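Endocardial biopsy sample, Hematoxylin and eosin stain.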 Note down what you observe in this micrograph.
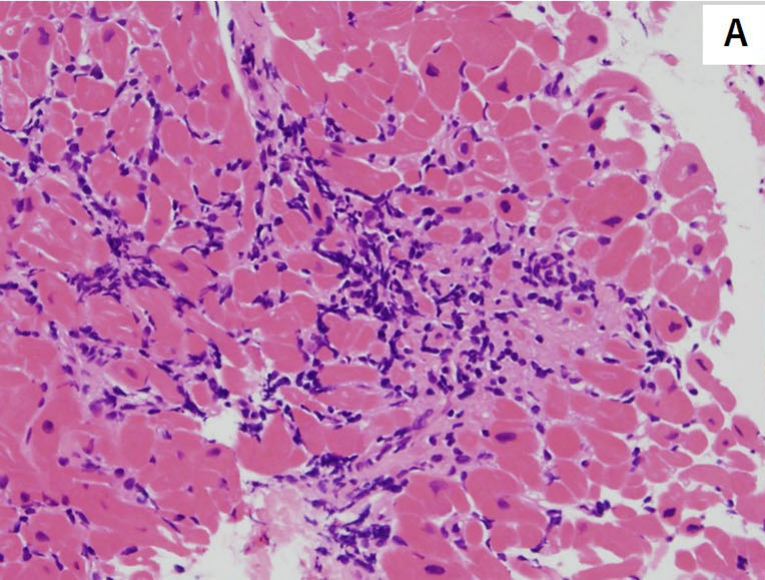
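Heart muscle with lymphocytic infiltration spread among the fibres. The muscle fibres are cut in cross, oblique and longitudinal section. They stain pink, and many show a single central oval nucleus. Numerous small, dark-purple, round to elongated nuclei lie in the spaces between the fibres. These nuclei form a loose band that runs diagonally through the middle of the field, where they are most crowded. In this band the fibres are separated and appear irregular and smaller. Toward the corners, the fibres lie closer together and fewer small dark cells are present between them.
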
